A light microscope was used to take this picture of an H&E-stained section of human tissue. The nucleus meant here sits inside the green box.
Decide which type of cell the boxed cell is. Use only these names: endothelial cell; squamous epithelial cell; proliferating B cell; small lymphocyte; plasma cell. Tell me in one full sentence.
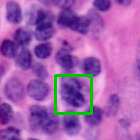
The category to which the boxed cell belongs is that of a proliferating B cell.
